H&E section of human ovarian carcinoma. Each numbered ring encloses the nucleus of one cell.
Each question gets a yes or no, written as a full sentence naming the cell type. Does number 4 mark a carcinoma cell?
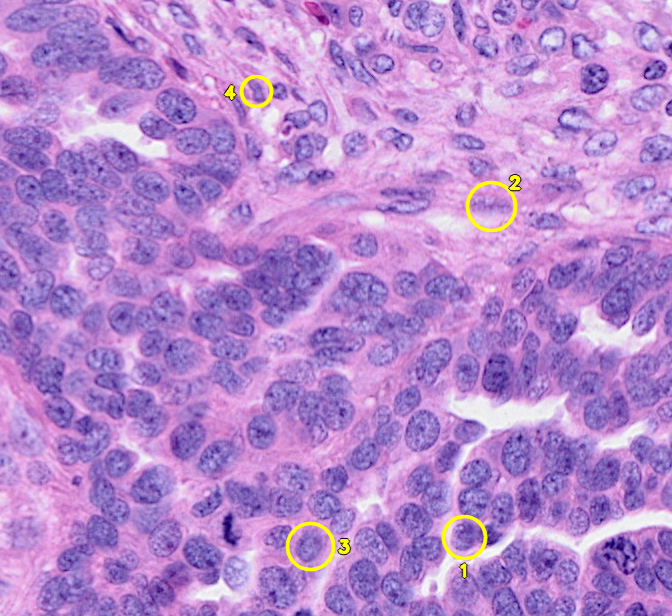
No, for cell 4, the correct identification is a fibroblast instead of a carcinoma cell.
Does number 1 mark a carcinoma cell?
Yes, number 1 corresponds to a carcinoma cell.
